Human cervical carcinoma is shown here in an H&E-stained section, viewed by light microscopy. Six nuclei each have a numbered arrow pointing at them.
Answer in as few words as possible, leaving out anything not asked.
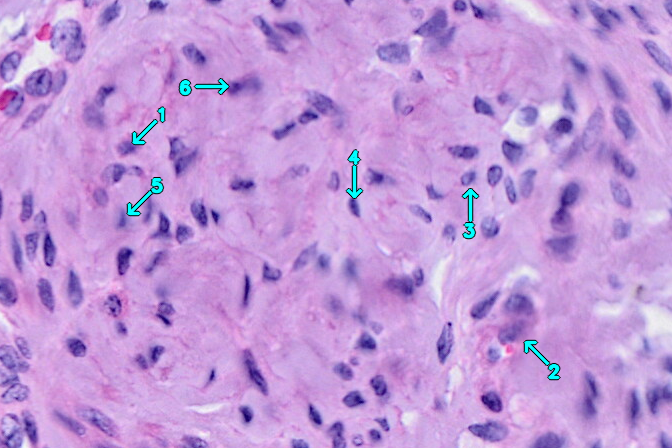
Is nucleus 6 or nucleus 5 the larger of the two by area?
6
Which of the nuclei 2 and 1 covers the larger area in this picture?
2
